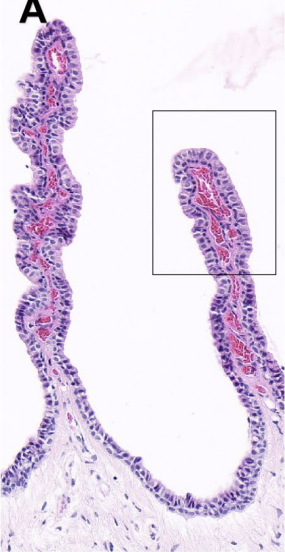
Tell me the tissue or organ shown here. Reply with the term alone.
Ciliary processes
